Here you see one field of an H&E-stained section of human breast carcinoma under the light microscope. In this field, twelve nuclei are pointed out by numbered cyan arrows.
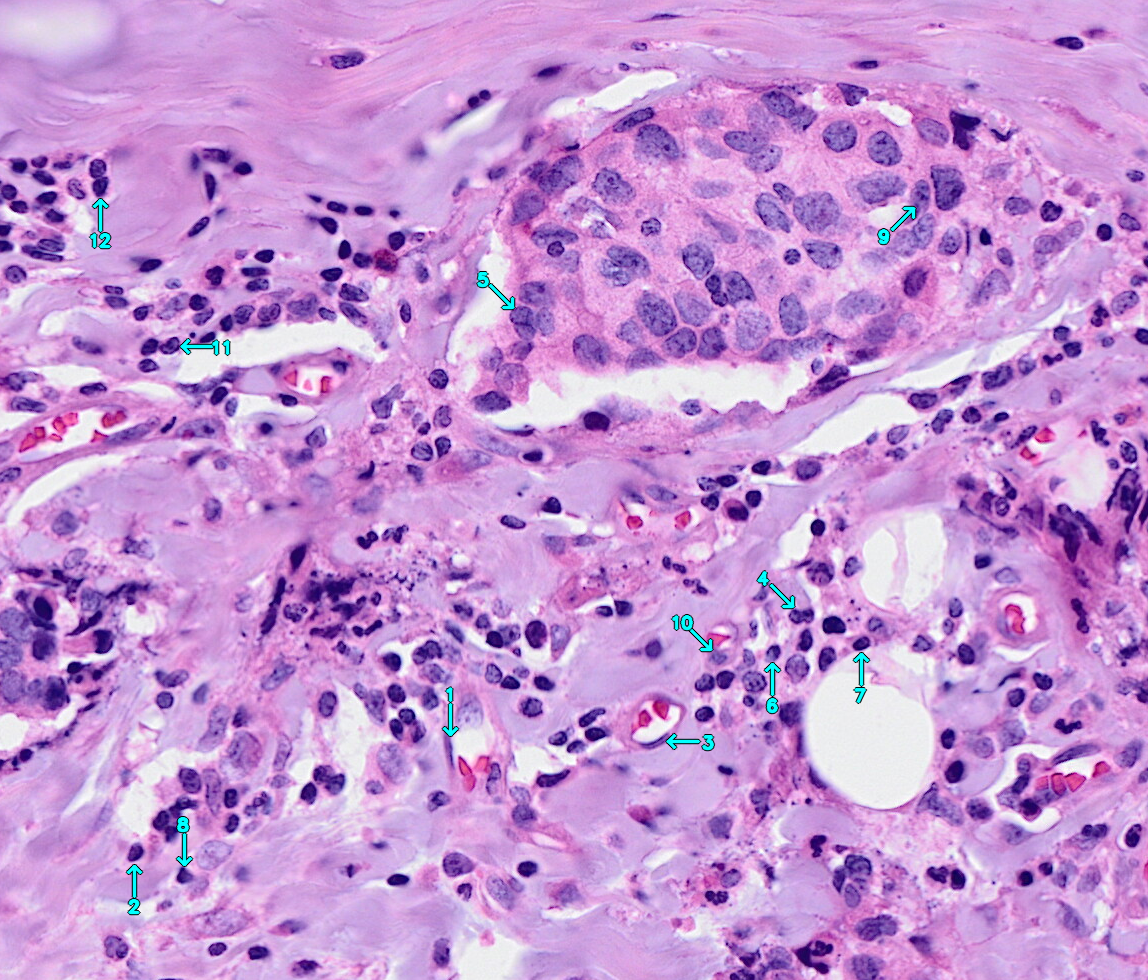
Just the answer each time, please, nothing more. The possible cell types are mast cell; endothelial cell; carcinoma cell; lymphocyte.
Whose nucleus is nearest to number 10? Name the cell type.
lymphocyte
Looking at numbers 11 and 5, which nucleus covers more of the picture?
5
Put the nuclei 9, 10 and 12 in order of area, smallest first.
10, 12, 9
